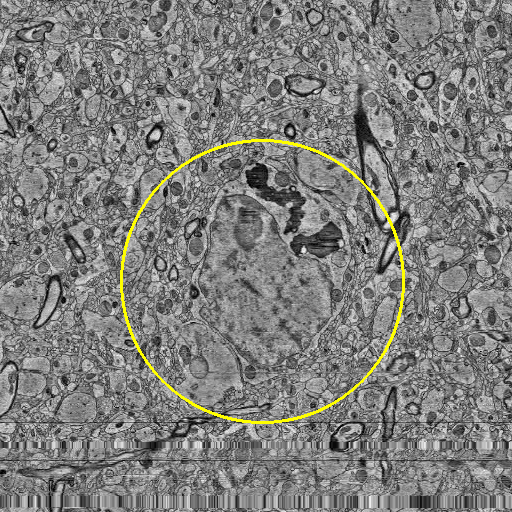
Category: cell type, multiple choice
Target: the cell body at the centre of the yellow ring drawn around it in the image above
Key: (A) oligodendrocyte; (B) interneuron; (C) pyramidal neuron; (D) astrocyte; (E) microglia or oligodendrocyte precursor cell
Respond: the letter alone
B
